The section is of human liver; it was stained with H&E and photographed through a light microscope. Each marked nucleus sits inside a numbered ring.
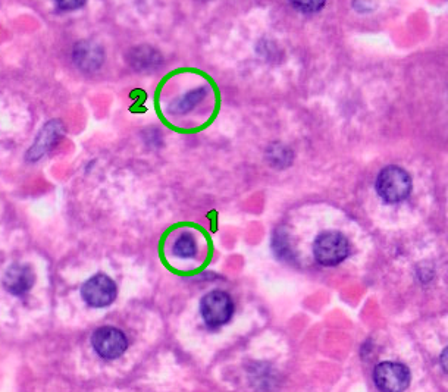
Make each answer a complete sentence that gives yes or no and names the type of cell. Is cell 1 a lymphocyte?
Yes, it is a lymphocyte that number 1 identifies.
